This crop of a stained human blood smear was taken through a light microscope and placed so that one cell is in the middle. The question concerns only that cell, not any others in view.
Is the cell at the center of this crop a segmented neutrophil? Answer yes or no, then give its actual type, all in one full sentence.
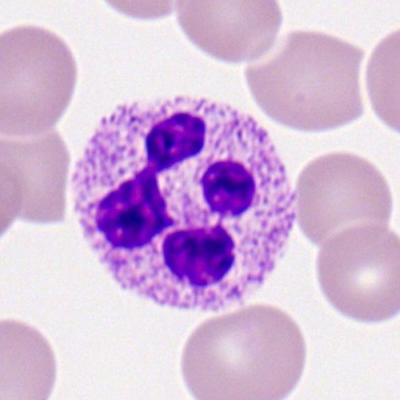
Yes, the cell shown at the crop's centre is a segmented neutrophil.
